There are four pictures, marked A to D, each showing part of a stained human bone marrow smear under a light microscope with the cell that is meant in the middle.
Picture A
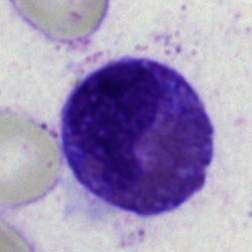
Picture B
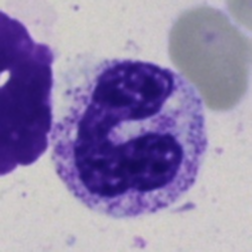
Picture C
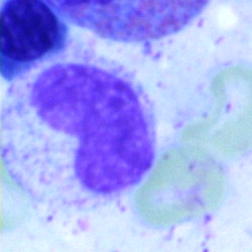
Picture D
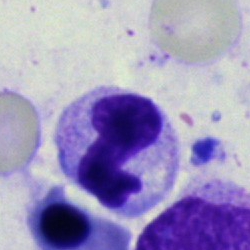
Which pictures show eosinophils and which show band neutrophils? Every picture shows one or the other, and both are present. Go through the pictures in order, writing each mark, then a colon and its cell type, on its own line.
A: eosinophil
B: band neutrophil
C: band neutrophil
D: band neutrophil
